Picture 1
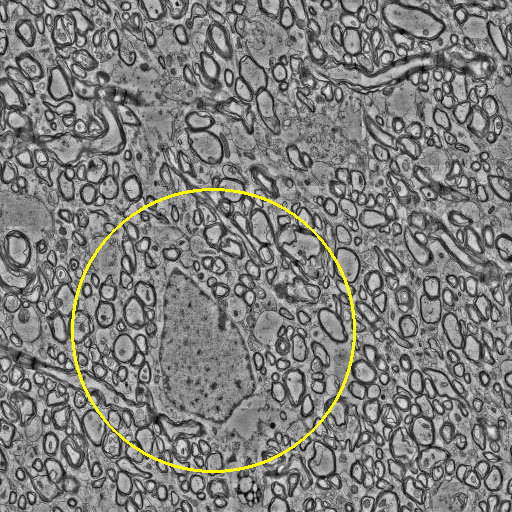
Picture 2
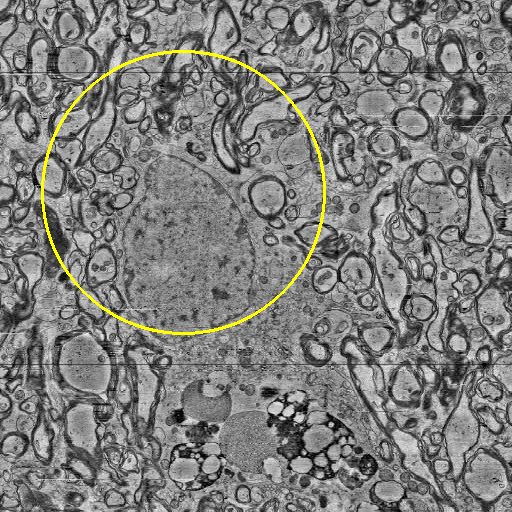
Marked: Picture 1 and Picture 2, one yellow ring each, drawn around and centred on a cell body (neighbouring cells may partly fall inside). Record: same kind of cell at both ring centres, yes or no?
yes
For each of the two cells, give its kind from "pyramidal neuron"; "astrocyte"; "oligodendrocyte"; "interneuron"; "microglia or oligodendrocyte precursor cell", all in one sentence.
In each picture the ringed cell is an astrocyte.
